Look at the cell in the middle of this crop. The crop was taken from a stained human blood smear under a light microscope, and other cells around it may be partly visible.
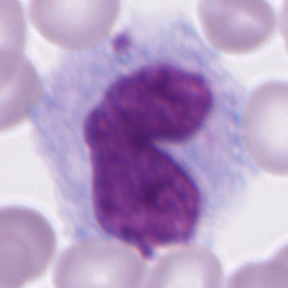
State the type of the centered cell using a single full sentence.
The cell at the middle of the crop is recognized as a monocyte.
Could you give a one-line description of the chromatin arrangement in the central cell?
Heads up, the chromatin is fine with no coarse clumps in it.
